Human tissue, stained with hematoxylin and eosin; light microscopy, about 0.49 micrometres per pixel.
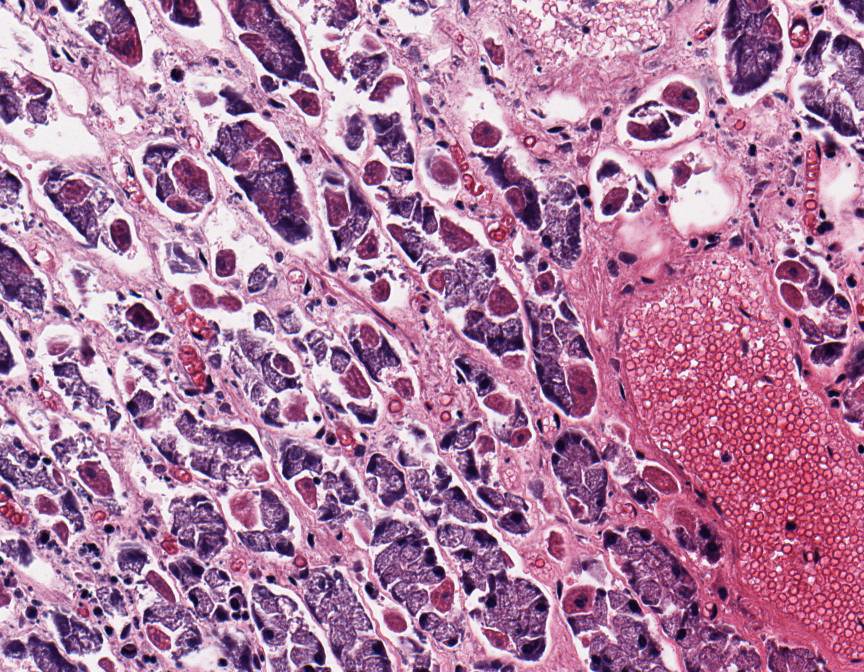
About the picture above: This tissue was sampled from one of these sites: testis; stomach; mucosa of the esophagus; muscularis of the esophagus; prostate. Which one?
stomach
